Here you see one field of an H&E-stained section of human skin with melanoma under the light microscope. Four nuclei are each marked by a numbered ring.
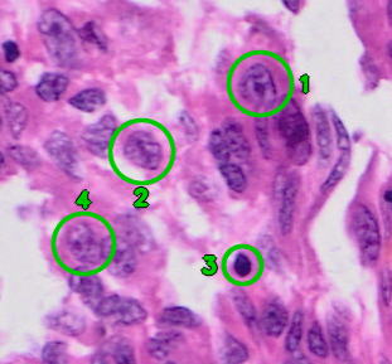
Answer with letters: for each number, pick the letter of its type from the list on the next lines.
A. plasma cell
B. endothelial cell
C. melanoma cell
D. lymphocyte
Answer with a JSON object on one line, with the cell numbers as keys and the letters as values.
{"1": "C", "2": "C", "3": "D", "4": "C"}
